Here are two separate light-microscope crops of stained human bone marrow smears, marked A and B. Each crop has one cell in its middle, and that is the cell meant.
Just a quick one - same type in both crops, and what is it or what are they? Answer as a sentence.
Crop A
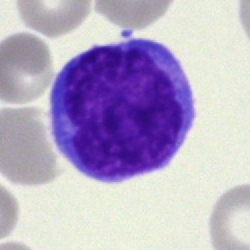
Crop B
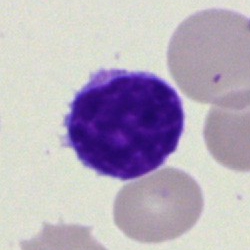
No, the cell in crop A is a blast and the one in crop B is a lymphocyte.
